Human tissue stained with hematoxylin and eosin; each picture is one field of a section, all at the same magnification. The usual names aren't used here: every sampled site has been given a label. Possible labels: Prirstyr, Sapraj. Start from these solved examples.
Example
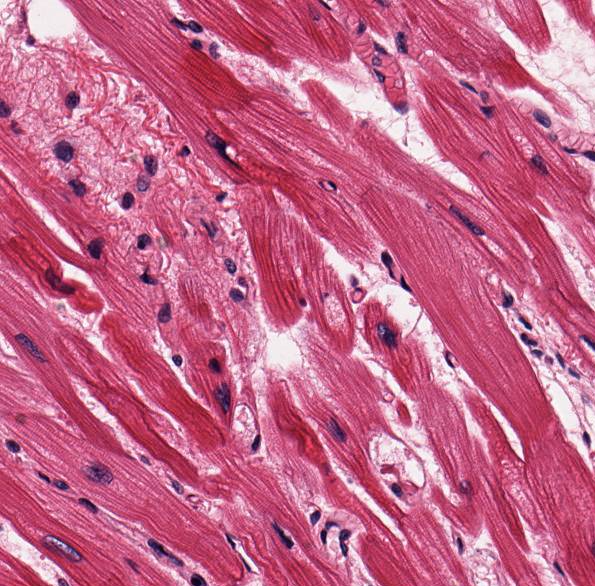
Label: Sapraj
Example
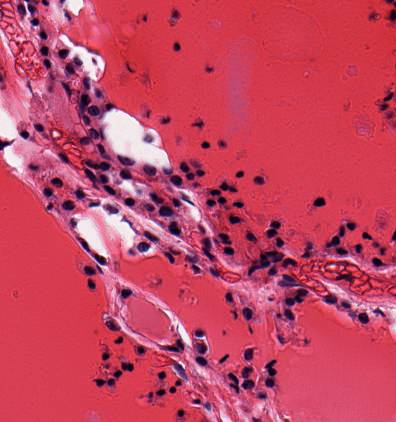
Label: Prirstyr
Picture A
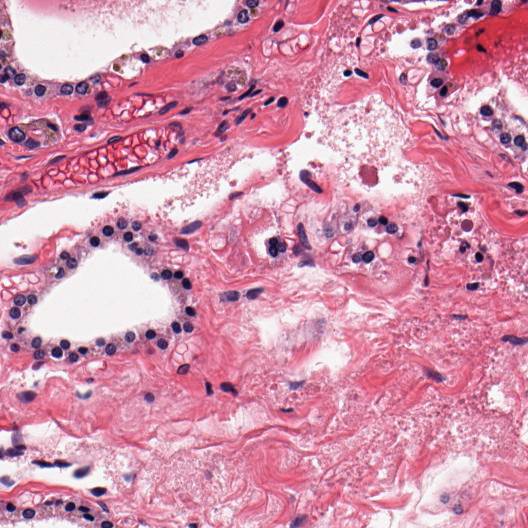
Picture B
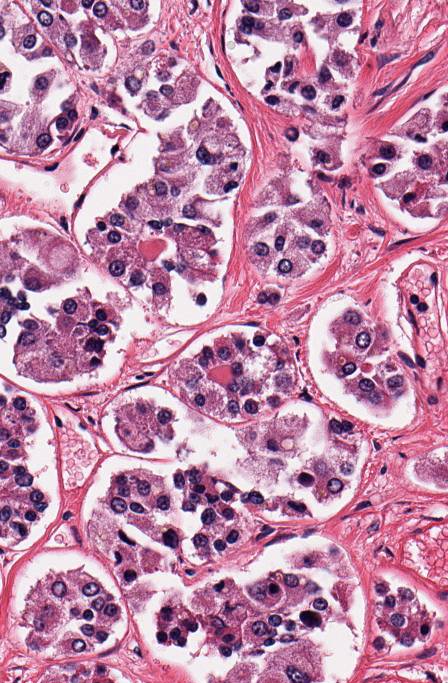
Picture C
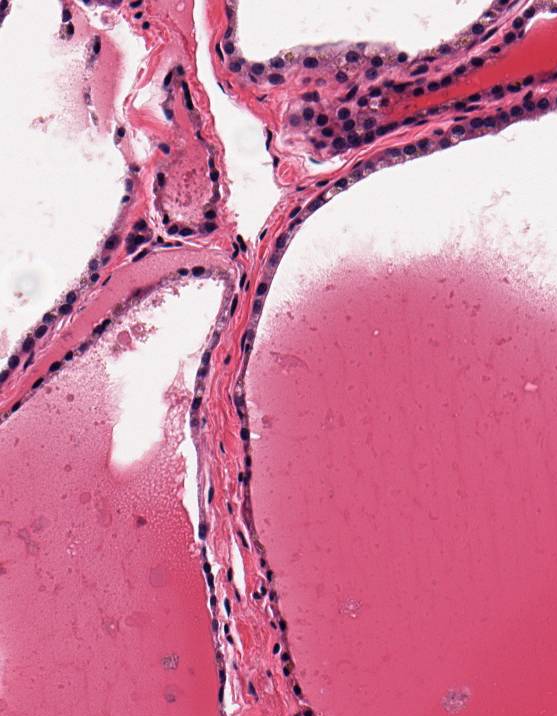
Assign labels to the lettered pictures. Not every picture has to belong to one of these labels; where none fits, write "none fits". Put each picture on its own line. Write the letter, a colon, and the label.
A: Prirstyr
B: none fits
C: Prirstyr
